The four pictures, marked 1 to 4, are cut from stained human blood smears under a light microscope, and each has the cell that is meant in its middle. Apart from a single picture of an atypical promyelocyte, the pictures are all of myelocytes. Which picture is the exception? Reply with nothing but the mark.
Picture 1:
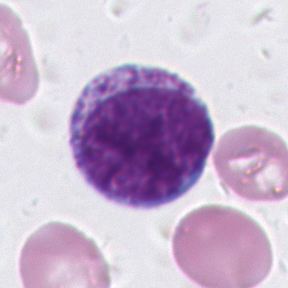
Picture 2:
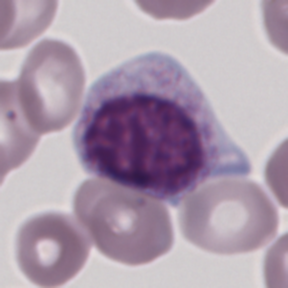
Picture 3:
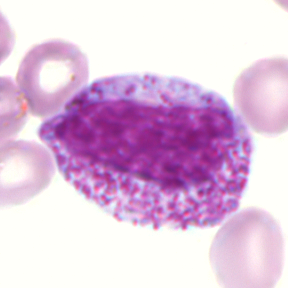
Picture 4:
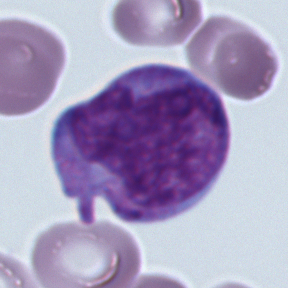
4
